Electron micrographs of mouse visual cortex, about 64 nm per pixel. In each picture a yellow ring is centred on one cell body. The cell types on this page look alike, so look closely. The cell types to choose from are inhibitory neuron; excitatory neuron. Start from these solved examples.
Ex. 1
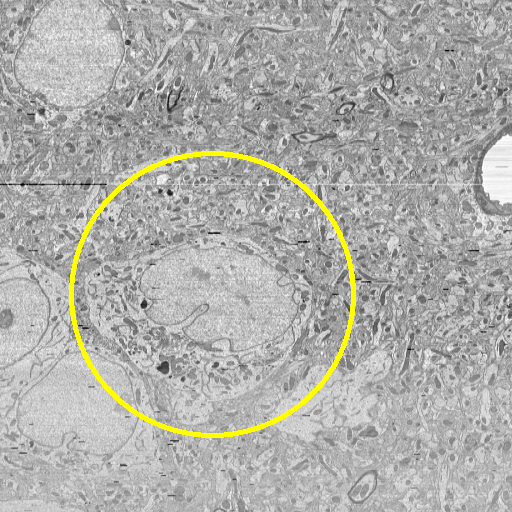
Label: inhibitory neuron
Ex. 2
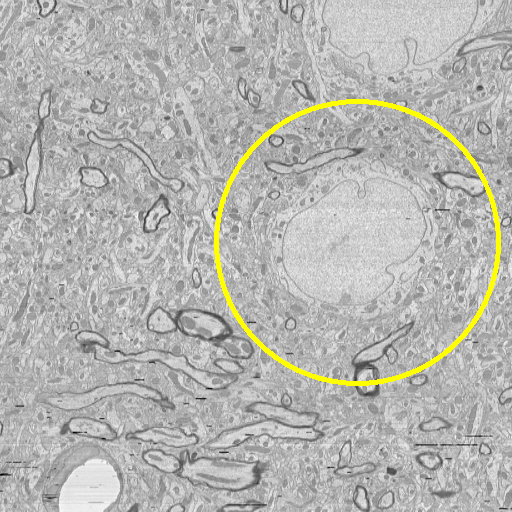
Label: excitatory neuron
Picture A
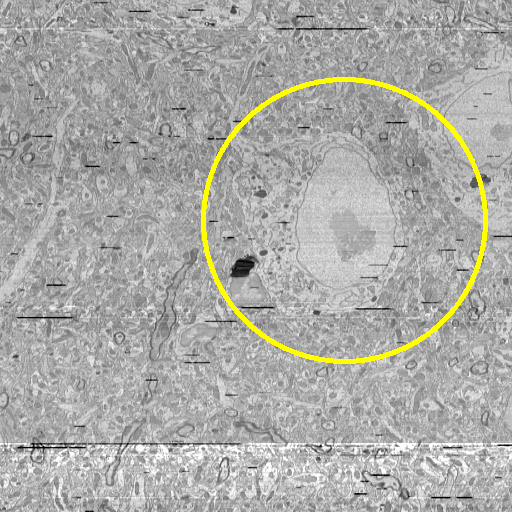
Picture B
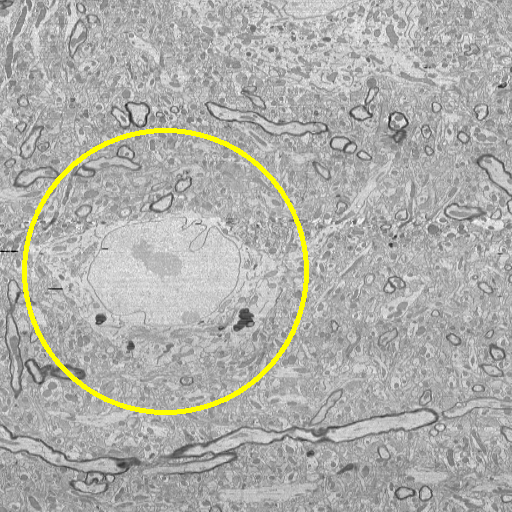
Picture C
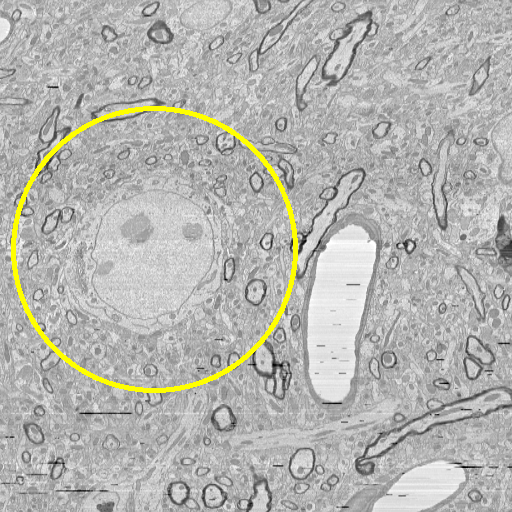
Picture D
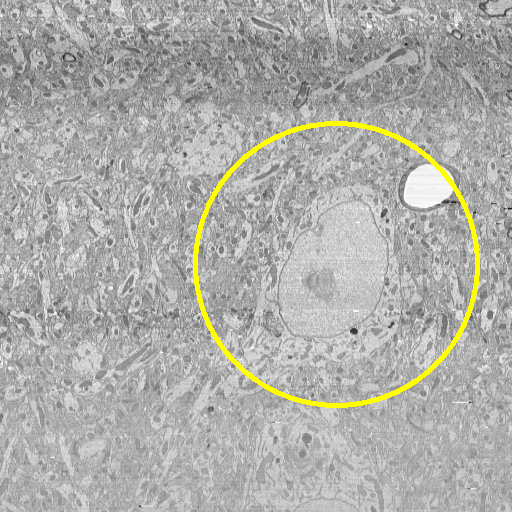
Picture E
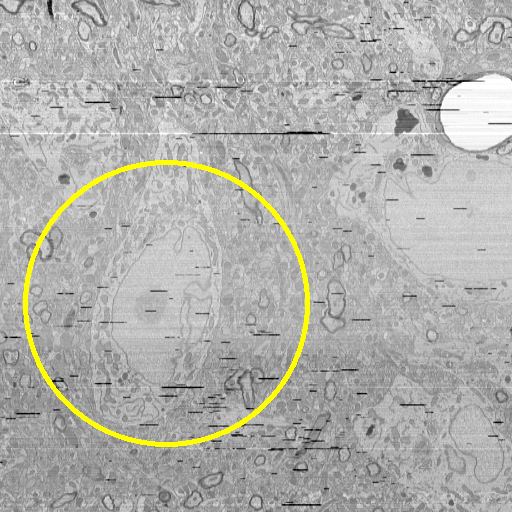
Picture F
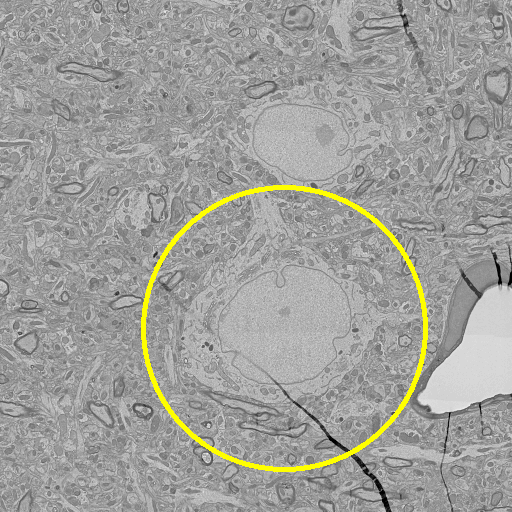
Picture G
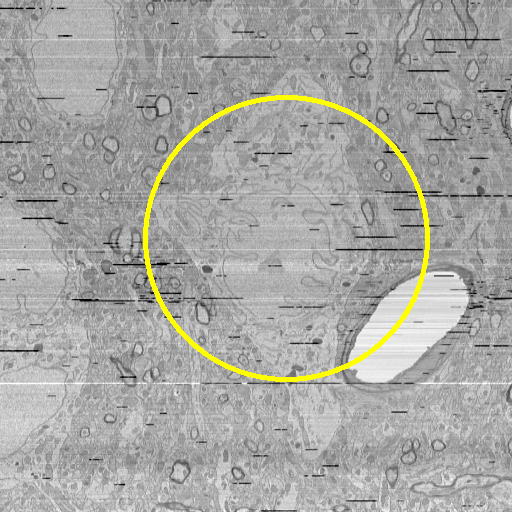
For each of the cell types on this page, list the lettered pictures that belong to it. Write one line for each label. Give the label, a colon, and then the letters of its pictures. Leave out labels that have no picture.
inhibitory neuron: A, E, G
excitatory neuron: B, C, D, F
